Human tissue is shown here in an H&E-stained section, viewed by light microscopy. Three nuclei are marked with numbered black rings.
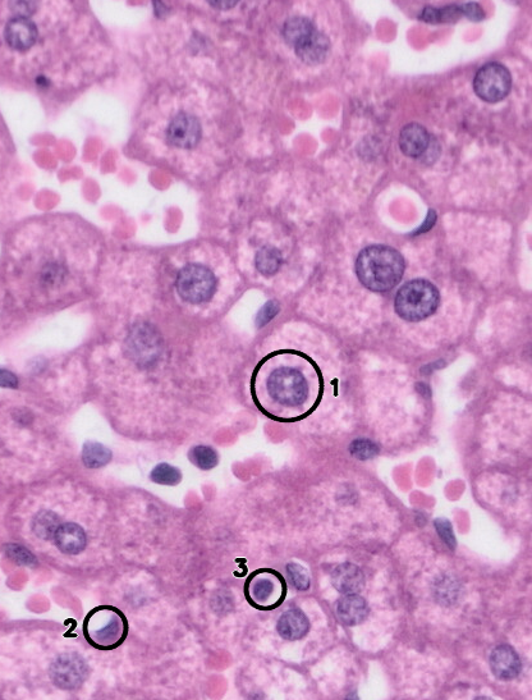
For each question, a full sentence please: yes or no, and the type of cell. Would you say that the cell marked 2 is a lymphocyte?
No, cell 2 is not a lymphocyte; an endothelial cell is the correct identification.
